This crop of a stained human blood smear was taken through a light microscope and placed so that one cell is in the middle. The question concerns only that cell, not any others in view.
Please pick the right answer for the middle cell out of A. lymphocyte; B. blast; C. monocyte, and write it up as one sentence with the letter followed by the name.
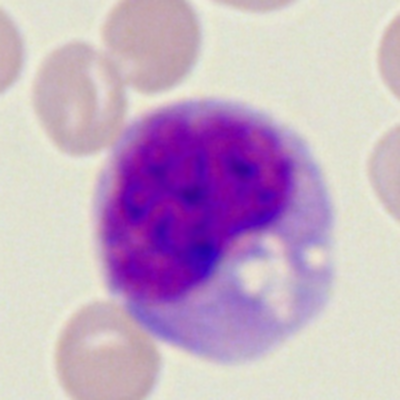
The cell in the centre of the crop is a monocyte, so option C is the correct one.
